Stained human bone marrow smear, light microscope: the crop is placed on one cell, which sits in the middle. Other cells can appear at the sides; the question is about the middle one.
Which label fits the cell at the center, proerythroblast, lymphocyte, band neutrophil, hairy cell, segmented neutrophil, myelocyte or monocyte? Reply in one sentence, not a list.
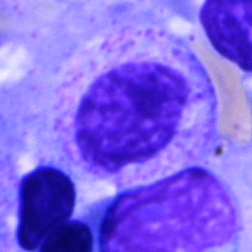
In this smear crop, the middle cell is a myelocyte.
